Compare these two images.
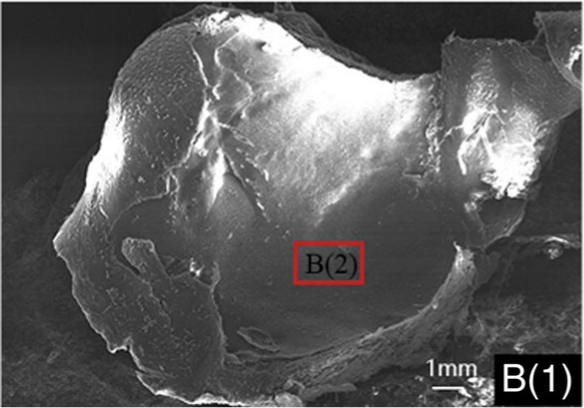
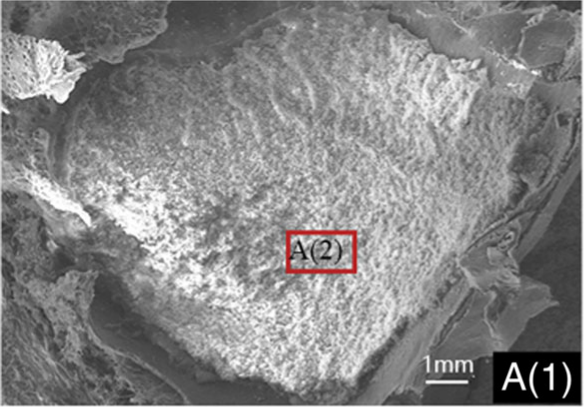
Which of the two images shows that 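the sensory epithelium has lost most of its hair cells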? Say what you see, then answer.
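The first image. First image: the inner surface of the organ is largely smooth. Second image: the sensory patch has a dense, fuzzy, granular texture.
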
